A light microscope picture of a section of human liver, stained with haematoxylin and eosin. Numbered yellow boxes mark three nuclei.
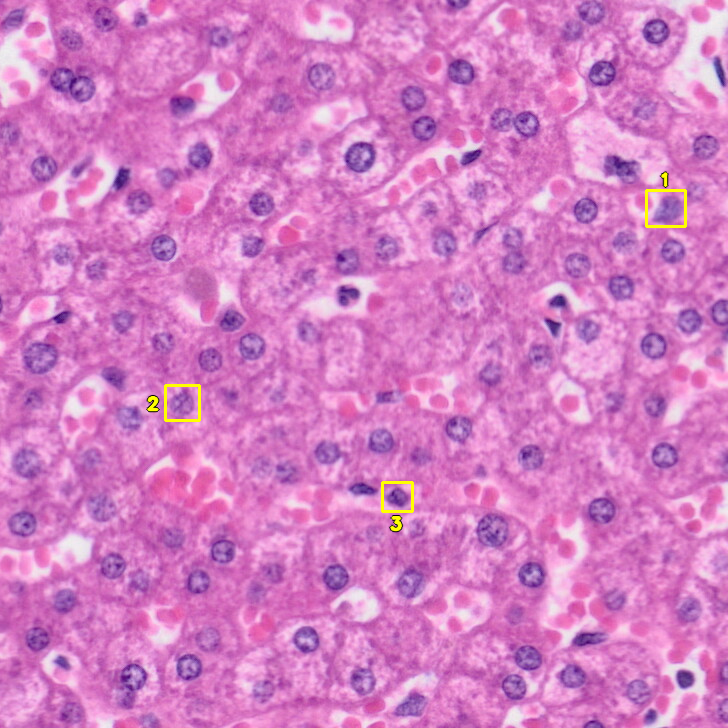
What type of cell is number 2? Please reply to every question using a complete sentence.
The cell marked with the number 2 is a hepatocyte.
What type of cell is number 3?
The cell to which the number 3 is assigned is a Kupffer cell.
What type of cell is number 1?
The cell that bears the number 1 is an endothelial cell.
